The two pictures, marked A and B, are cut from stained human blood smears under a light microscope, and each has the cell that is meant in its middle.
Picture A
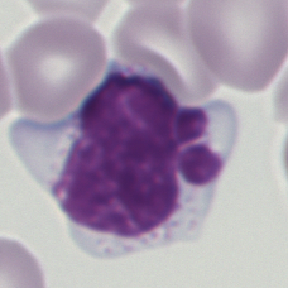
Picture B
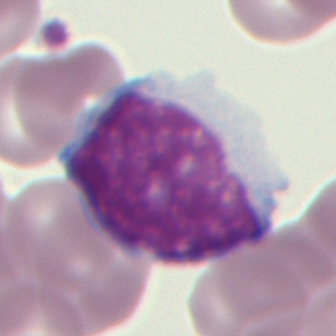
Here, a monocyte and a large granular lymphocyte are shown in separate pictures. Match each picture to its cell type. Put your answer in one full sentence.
Picture A is of a large granular lymphocyte, and picture B is of a monocyte.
